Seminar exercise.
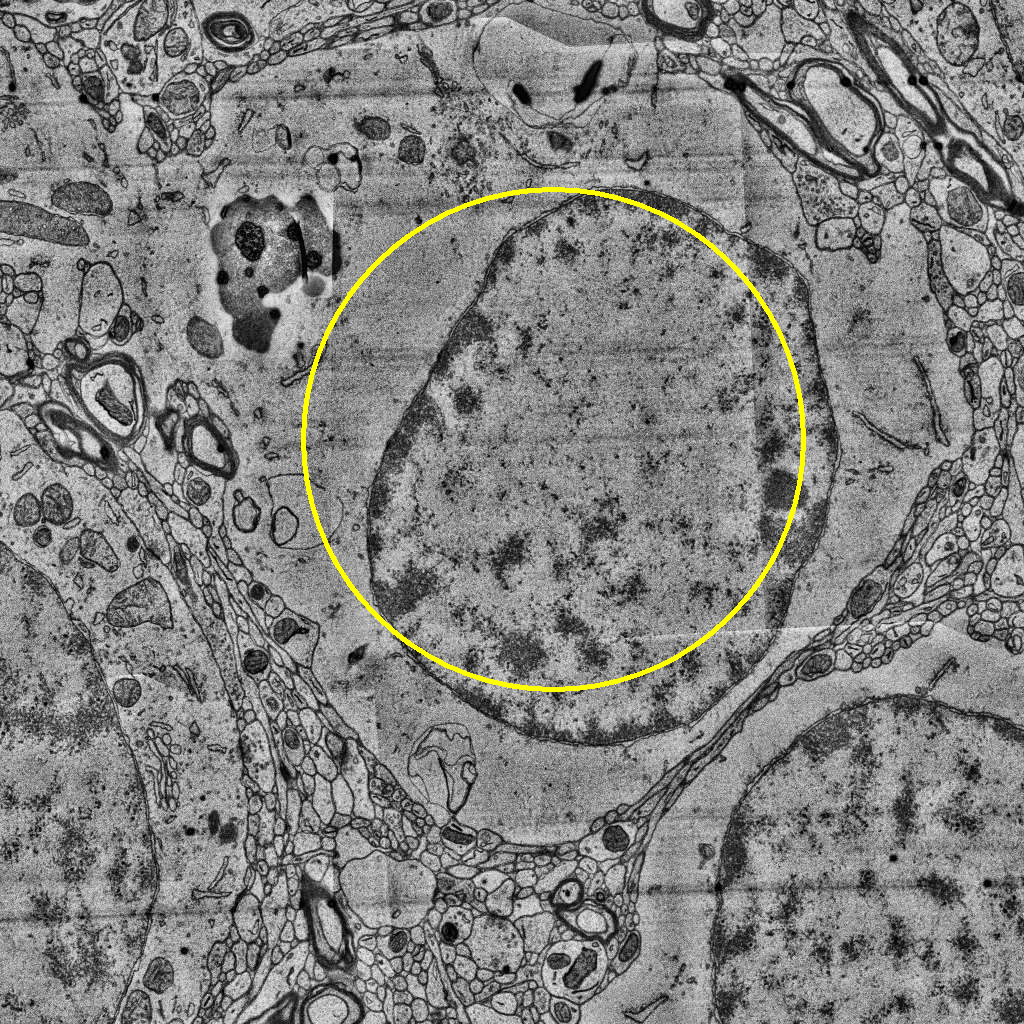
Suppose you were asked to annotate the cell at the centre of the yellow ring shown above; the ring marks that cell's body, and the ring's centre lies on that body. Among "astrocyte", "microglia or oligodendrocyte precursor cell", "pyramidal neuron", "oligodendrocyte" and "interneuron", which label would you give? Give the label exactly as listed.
astrocyte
